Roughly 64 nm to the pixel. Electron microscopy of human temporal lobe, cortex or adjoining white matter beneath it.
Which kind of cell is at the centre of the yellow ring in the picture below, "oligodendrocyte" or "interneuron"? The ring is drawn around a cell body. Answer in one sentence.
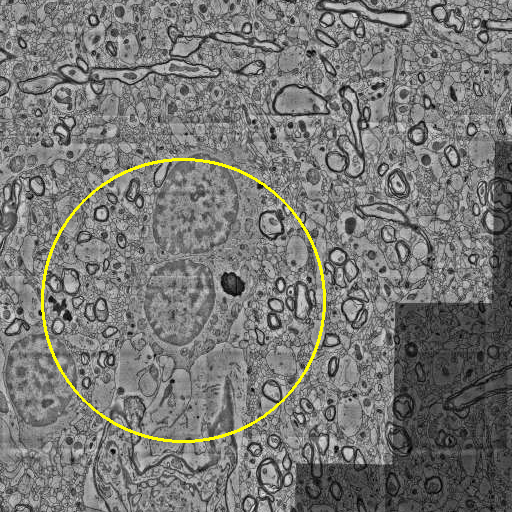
The ring's central cell is an oligodendrocyte.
